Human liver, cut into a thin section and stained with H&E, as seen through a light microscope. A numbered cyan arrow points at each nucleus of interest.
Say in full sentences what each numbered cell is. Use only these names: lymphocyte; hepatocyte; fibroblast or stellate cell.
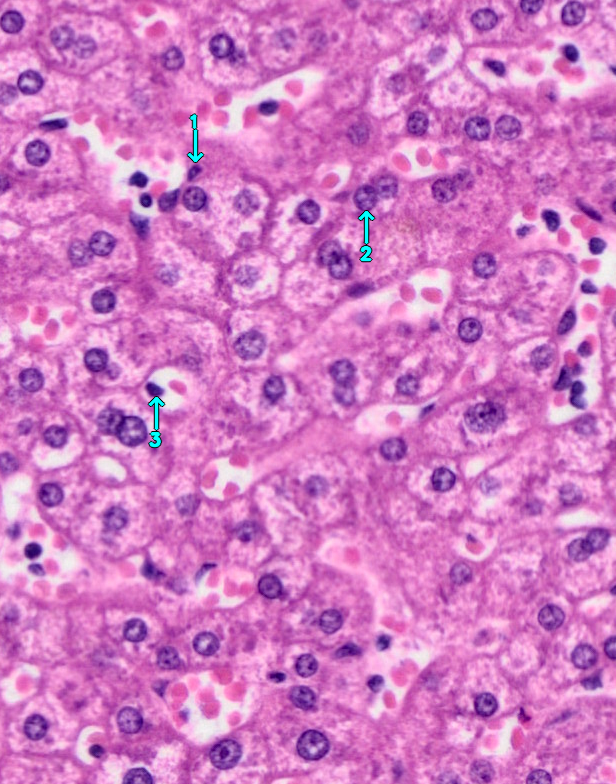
Cell 1 is a fibroblast or stellate cell. Cell 2 is a hepatocyte. Cell 3 is a lymphocyte.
